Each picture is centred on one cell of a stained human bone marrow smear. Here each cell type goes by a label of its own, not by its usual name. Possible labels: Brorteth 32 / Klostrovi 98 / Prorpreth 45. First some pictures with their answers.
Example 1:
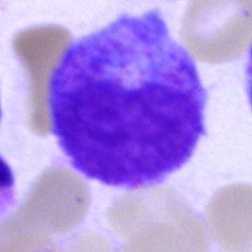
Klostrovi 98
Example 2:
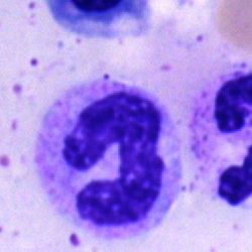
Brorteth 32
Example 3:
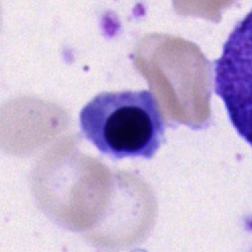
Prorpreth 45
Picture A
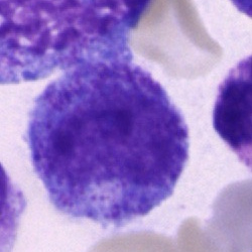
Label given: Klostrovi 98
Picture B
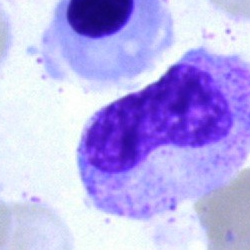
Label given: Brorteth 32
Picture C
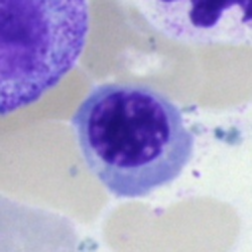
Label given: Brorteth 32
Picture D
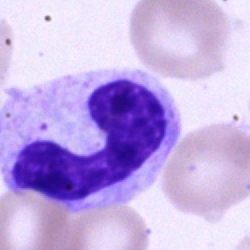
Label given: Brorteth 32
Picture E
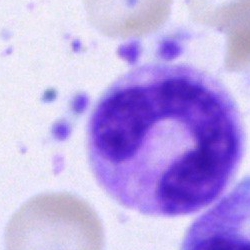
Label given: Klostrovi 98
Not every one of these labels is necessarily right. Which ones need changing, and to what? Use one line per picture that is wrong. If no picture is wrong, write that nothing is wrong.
C: change Brorteth 32 to Prorpreth 45
E: change Klostrovi 98 to Brorteth 32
